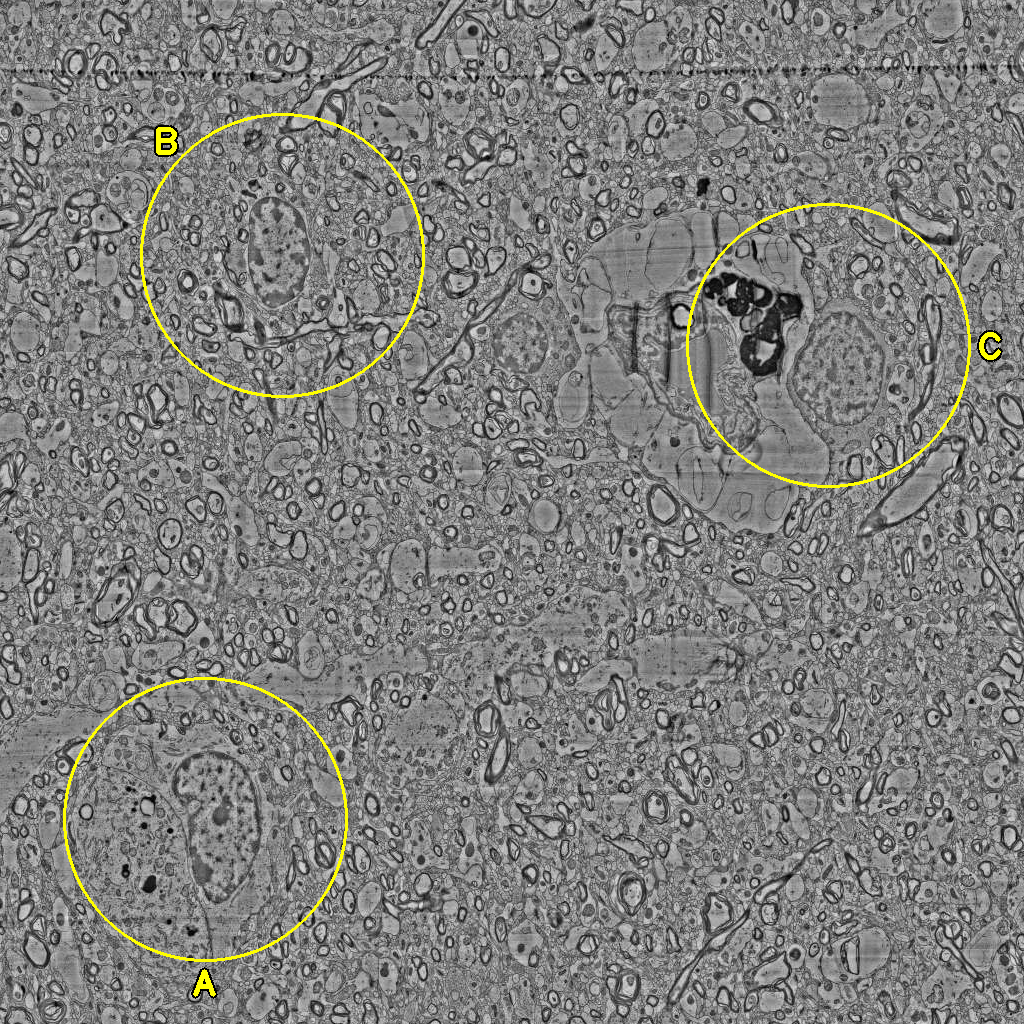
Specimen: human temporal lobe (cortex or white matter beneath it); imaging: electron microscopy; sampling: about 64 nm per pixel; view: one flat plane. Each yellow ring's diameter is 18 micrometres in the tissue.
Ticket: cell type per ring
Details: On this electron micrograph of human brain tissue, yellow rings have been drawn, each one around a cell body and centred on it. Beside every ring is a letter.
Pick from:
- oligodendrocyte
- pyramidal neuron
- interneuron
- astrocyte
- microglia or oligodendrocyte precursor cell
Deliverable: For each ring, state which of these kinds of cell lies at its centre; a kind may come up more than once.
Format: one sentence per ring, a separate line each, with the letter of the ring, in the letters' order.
The cell body ringed as A belongs to a microglial cell or oligodendrocyte precursor cell.
The cell body ringed as B belongs to a microglial cell or oligodendrocyte precursor cell.
The cell body ringed as C belongs to an oligodendrocyte.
